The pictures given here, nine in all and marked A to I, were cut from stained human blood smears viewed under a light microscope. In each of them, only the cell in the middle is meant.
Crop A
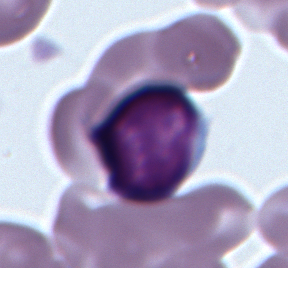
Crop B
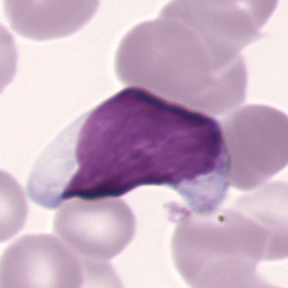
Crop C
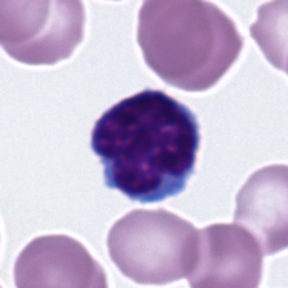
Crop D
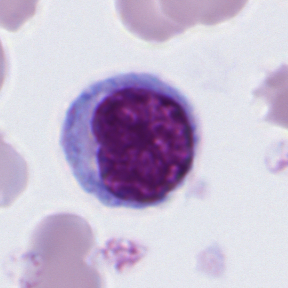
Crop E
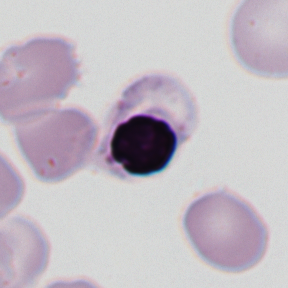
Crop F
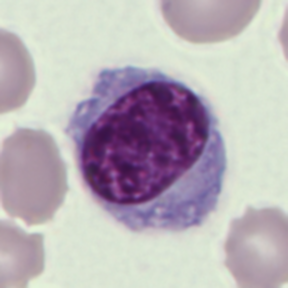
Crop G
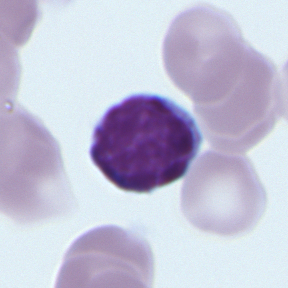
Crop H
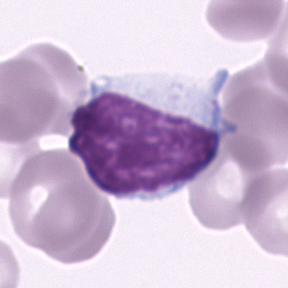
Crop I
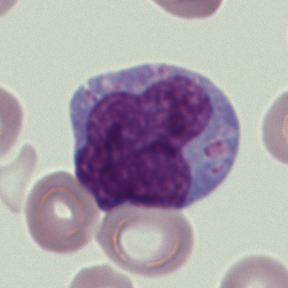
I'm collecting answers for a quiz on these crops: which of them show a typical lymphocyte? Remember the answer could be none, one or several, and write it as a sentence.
The cells being asked about in crops A, C, G and H are typical lymphocytes.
